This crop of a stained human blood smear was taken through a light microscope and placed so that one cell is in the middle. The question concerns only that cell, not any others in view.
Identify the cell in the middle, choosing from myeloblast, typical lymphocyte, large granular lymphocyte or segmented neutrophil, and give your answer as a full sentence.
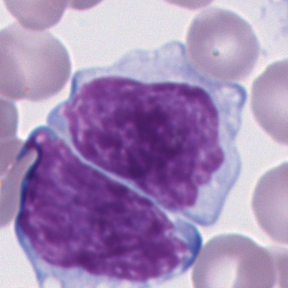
The cell of interest, located centrally, is a myeloblast.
